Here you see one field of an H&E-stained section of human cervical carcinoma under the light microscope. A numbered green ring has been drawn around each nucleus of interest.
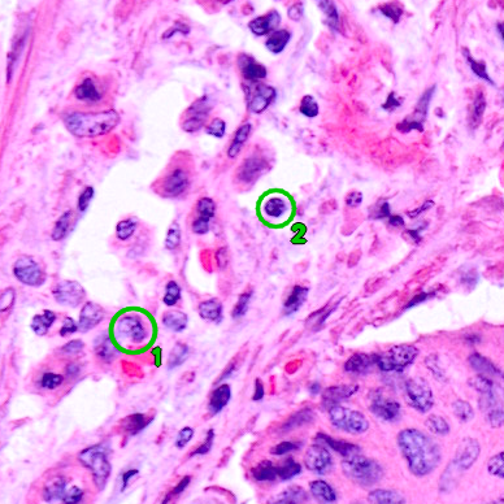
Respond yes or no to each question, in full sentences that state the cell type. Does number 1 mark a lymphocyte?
No, number 1 corresponds to an endothelial cell, not a lymphocyte.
